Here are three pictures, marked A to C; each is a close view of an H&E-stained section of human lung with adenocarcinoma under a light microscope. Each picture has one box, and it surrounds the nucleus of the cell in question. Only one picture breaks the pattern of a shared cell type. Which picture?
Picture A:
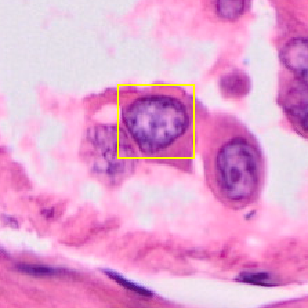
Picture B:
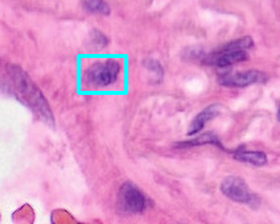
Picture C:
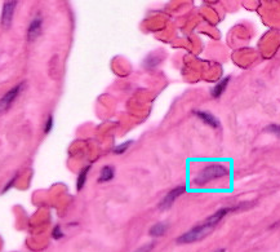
A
